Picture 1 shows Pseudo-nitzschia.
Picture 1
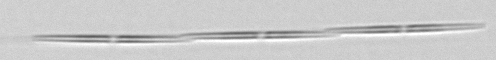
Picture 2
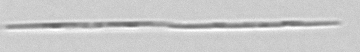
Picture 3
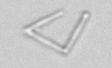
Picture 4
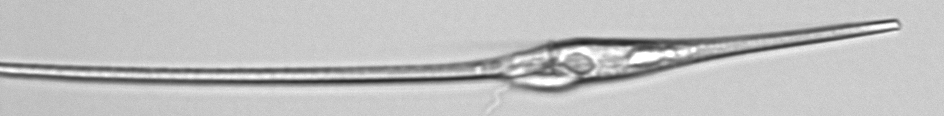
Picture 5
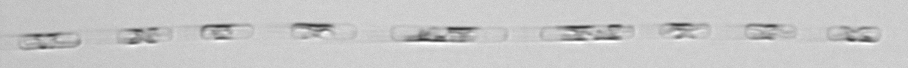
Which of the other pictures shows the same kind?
Picture 2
